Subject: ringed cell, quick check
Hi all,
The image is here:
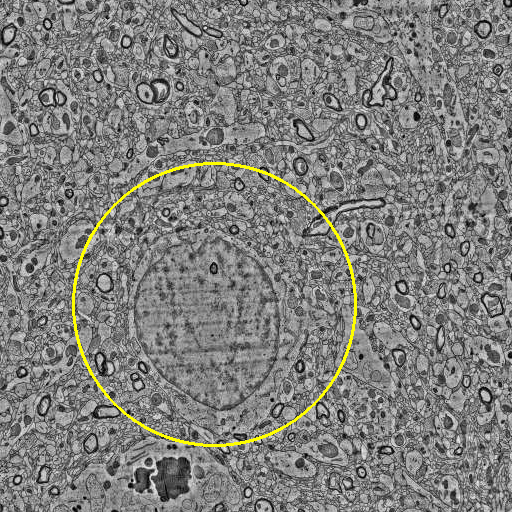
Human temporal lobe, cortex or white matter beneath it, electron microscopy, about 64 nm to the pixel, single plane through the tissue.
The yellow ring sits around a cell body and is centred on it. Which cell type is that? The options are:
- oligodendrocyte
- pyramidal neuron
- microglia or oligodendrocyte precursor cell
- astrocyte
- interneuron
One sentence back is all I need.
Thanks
That ringed cell is an interneuron.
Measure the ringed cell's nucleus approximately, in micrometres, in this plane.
In this plane, roughly 11 by 9 micrometres.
